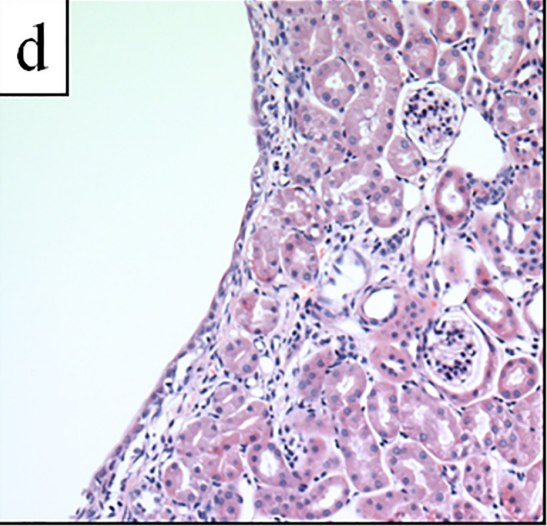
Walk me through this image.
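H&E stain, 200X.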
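This is kidney, with closely packed tubules whose cells have pink cytoplasm and two glomeruli sitting in their capsules. At the edge of the tissue a large empty cyst opens up, lined by a thin layer of flattened cells with a little fibrous tissue beneath it.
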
